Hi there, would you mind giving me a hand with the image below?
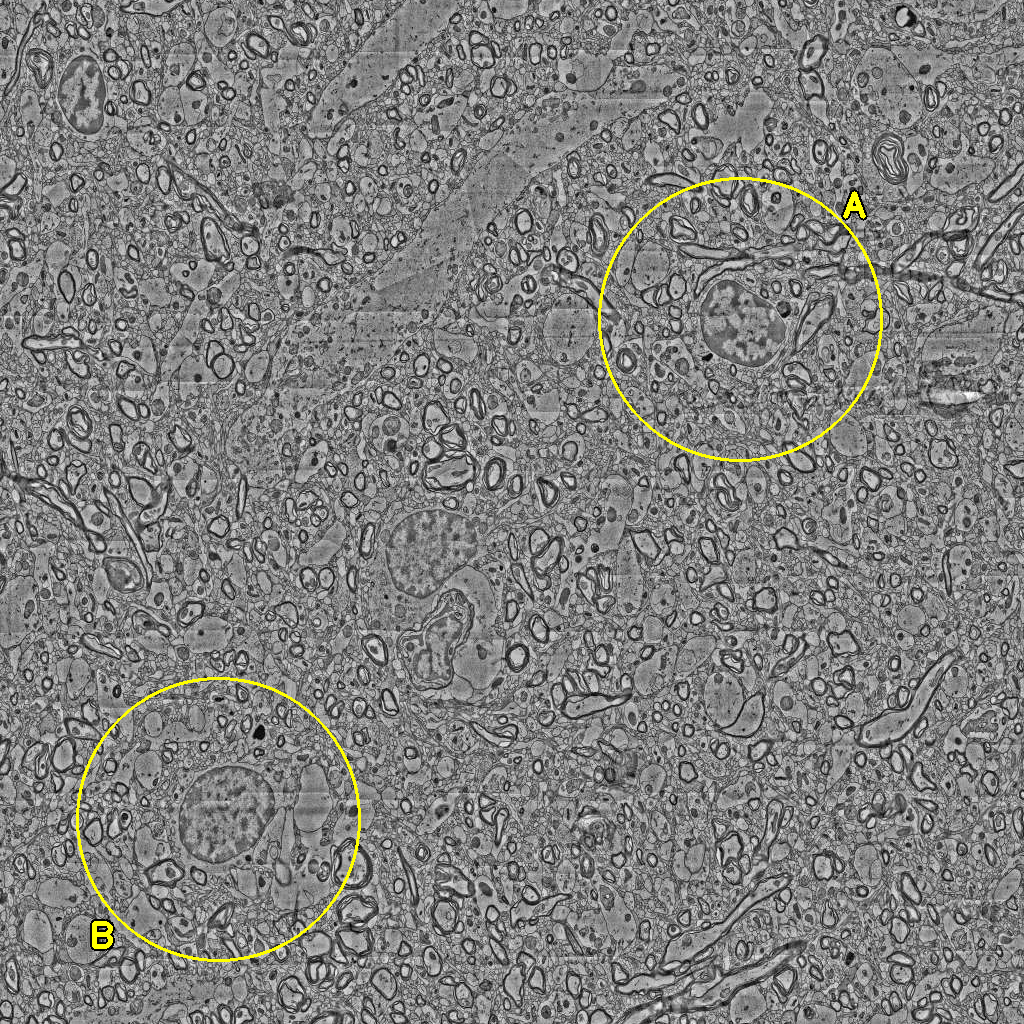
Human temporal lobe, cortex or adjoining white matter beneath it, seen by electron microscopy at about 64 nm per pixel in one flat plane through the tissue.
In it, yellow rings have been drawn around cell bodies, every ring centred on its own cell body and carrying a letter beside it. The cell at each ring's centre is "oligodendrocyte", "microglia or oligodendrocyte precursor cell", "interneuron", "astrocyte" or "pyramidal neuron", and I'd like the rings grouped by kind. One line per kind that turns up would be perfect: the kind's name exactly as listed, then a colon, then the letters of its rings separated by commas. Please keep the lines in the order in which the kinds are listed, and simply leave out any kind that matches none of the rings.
oligodendrocyte: B
microglia or oligodendrocyte precursor cell: A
